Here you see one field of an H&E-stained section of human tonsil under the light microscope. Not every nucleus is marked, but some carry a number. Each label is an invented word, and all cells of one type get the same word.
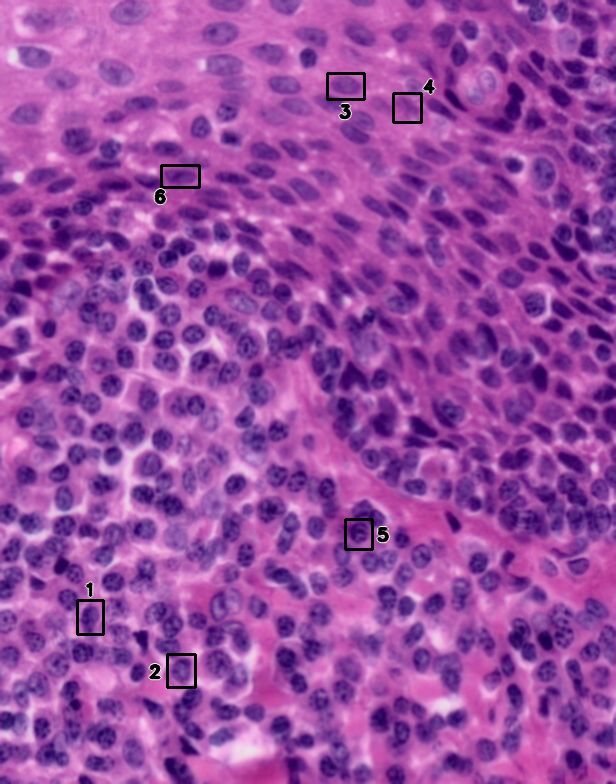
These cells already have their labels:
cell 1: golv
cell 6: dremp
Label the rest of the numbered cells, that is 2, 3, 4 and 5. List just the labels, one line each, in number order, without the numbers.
golv
dremp
dremp
golv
